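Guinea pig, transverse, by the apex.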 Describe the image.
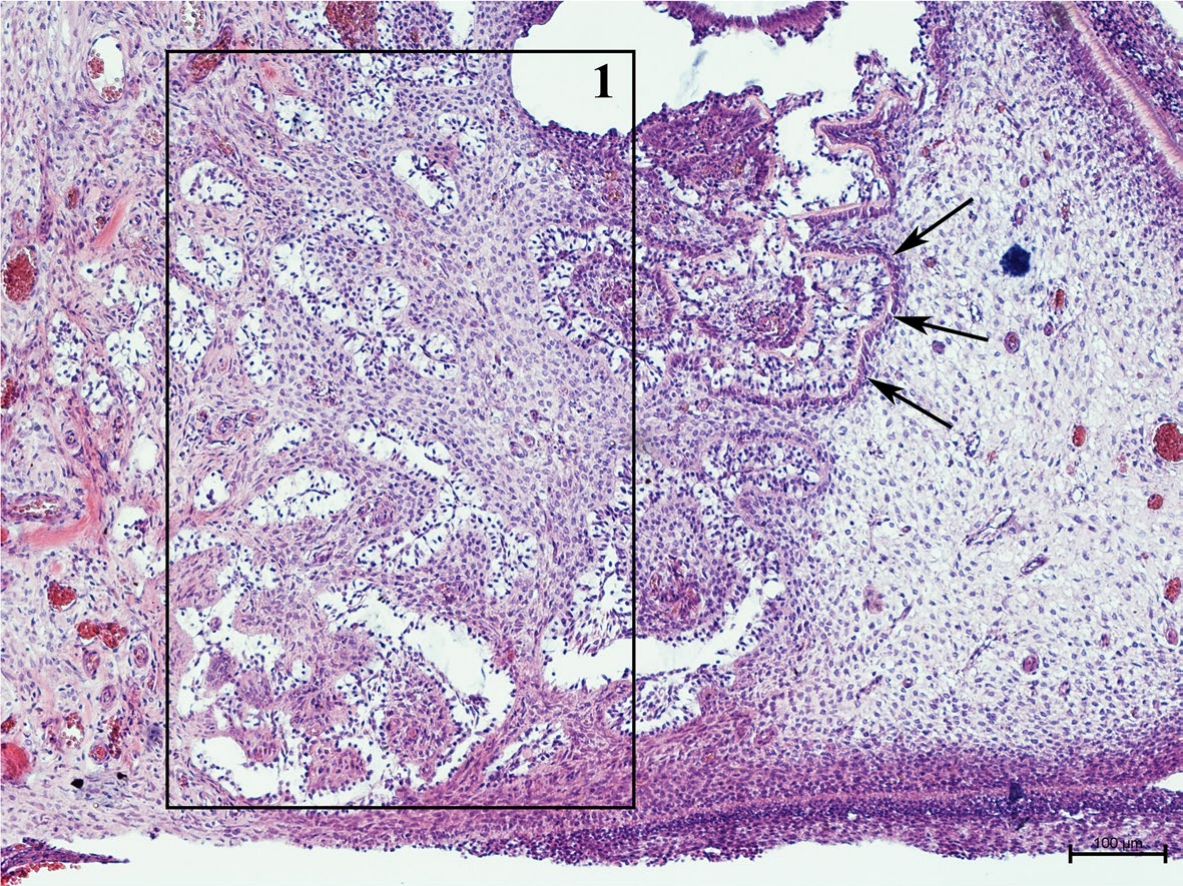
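This section of the tooth shows irregular clusters of epithelial tissue lying within the pulp, surrounded by pulp cells. The epithelial nests and tubular profiles vary in size and form. Between the nests lies a cellular connective tissue of spindle and stellate cells. To the right, a thin, wavy pink band forms a border, and loose pale pulp tissue with small blood vessels lies beyond it. Vessels congested with red blood cells appear at the left.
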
